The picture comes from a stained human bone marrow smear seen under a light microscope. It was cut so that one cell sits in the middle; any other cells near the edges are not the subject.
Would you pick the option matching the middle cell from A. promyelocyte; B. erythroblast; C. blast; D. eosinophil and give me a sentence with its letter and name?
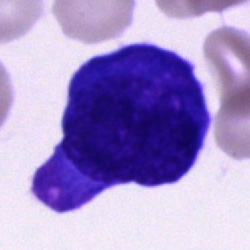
Option C is correct in naming the middle cell a blast.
